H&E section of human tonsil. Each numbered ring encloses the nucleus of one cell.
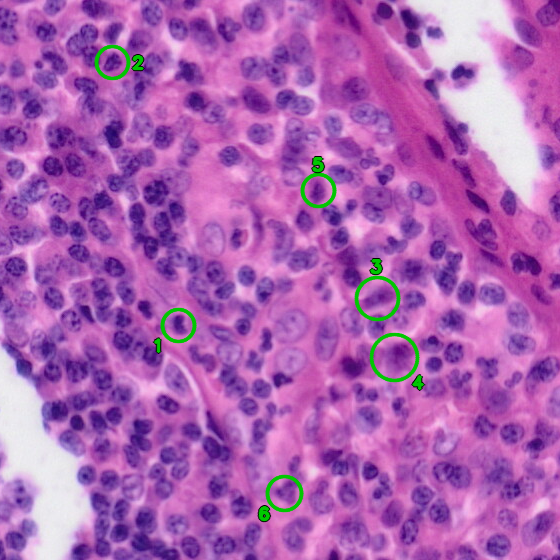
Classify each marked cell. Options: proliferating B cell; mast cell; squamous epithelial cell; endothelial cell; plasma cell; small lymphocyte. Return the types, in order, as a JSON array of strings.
["endothelial cell", "plasma cell", "squamous epithelial cell", "squamous epithelial cell", "squamous epithelial cell", "endothelial cell"]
